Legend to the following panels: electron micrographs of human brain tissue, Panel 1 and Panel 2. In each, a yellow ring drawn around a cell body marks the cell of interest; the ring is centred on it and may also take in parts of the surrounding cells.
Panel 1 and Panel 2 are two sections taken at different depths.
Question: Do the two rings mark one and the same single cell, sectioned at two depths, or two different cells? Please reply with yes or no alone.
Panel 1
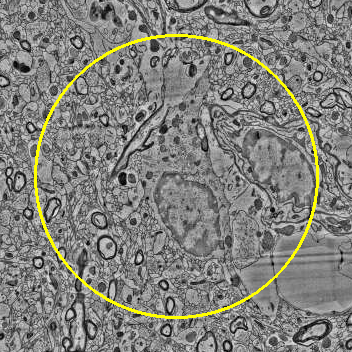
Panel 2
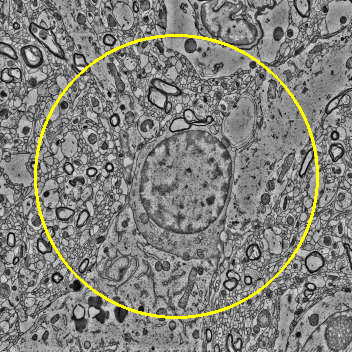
no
